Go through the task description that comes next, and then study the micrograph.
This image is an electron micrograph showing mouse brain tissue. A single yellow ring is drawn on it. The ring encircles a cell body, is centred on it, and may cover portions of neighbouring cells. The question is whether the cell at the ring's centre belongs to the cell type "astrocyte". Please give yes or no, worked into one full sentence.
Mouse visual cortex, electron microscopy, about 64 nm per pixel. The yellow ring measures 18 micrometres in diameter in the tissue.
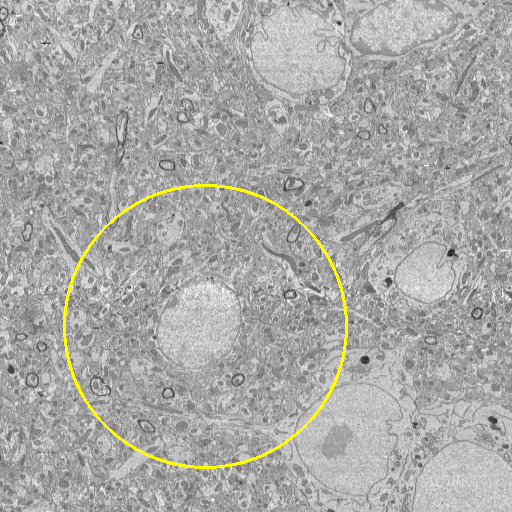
Yes, the cell that the ring is centred on in the micrograph is of this kind.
